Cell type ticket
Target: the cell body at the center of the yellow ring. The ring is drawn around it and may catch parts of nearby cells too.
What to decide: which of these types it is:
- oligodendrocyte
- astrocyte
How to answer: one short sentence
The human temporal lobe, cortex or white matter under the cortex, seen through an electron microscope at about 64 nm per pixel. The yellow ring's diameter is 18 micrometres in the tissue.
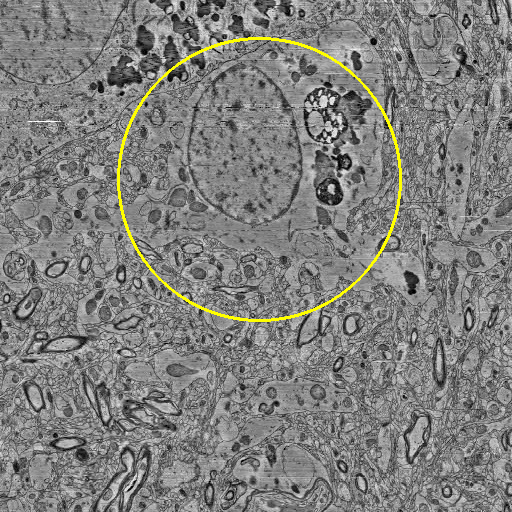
The cell at the center of the ring is an astrocyte.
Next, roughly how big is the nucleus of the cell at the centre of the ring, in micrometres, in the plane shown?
In this plane, the nucleus is roughly 11 by 7 micrometres.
